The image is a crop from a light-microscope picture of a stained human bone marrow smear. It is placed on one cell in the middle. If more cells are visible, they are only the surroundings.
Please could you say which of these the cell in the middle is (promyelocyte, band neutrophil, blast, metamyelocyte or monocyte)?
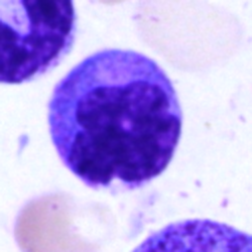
monocyte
